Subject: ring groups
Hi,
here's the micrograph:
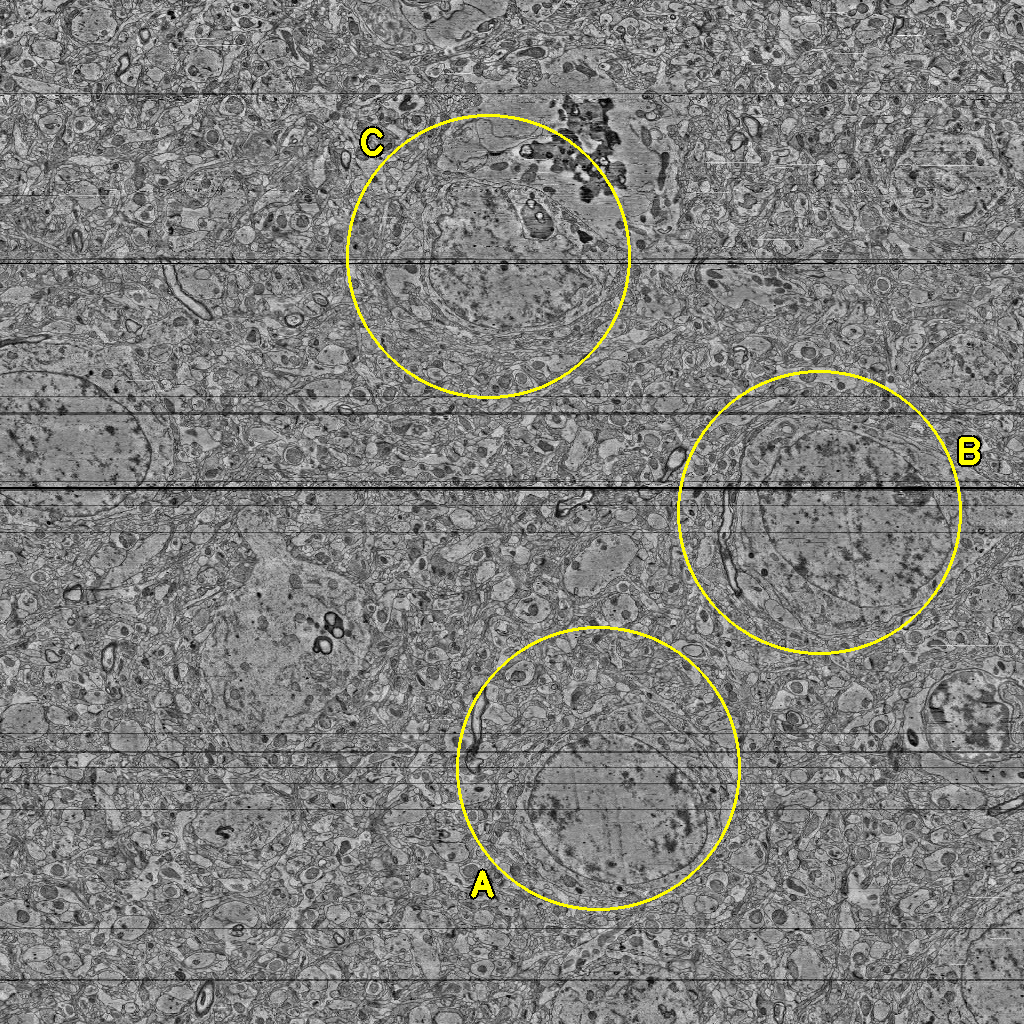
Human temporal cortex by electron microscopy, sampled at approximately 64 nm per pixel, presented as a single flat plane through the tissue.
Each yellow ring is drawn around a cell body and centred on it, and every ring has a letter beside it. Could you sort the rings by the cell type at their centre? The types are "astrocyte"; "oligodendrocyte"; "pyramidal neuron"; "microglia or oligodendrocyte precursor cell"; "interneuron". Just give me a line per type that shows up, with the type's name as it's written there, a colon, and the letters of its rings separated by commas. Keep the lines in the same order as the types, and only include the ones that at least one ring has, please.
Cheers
pyramidal neuron: A, B
interneuron: C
